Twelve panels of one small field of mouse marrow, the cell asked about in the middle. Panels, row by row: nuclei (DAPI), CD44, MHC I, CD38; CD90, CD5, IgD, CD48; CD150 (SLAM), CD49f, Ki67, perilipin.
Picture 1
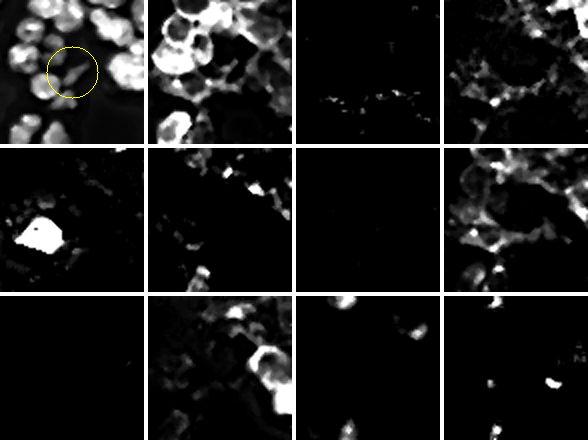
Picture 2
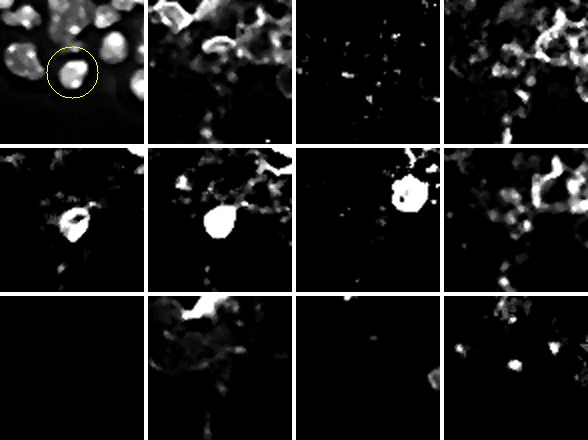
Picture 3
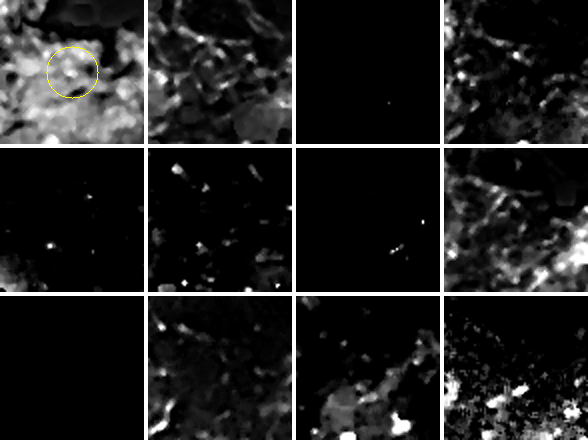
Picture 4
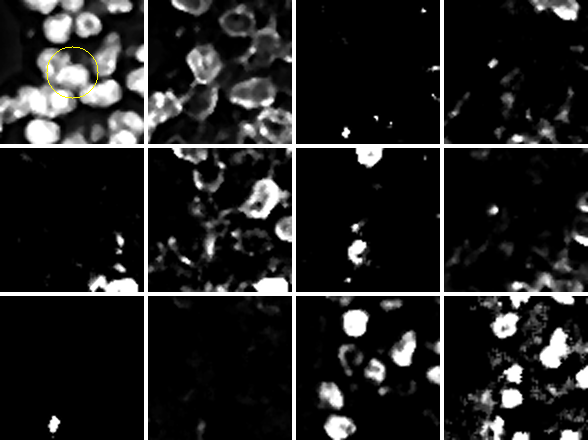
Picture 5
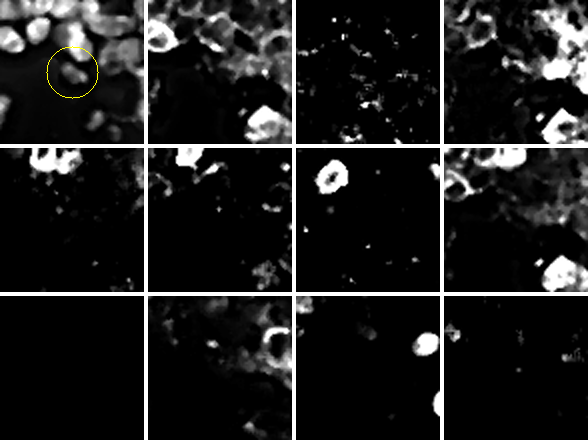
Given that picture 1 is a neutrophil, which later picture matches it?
3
